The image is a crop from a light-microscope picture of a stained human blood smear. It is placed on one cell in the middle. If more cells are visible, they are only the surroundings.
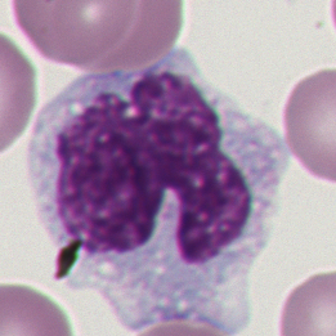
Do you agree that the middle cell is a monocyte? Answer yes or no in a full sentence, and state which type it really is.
Yes, in this crop the cell in the middle is a monocyte.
